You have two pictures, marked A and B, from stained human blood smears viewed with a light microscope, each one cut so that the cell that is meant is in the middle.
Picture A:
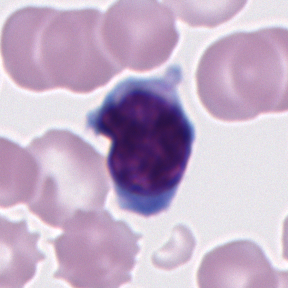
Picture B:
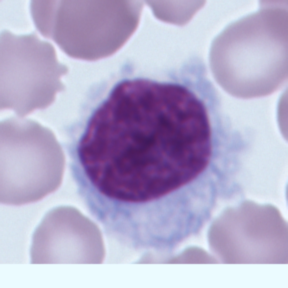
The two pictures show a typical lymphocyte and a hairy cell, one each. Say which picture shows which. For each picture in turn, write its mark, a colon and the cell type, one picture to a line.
A: typical lymphocyte
B: hairy cell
